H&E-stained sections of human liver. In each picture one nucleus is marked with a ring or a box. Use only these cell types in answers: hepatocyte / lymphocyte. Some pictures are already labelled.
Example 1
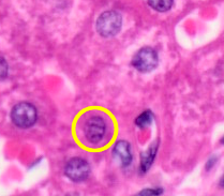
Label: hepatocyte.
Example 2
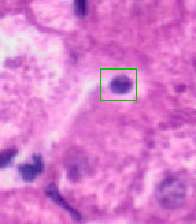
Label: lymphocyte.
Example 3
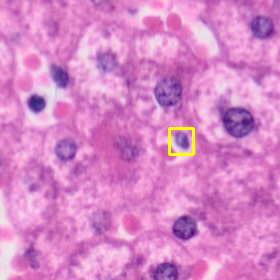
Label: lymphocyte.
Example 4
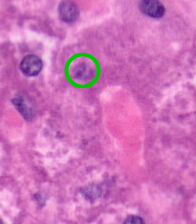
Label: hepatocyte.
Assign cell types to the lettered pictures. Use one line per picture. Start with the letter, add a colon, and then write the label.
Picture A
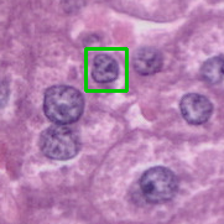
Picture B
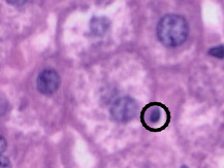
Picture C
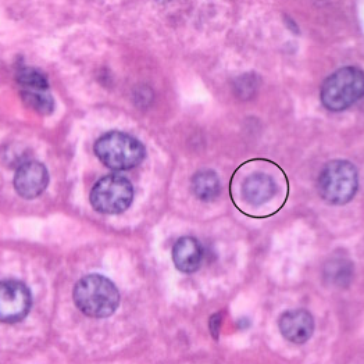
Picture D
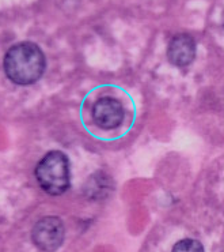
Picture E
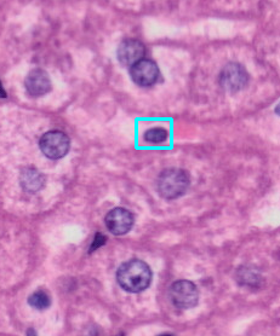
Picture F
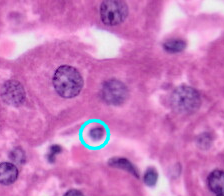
A: hepatocyte.
B: lymphocyte.
C: hepatocyte.
D: hepatocyte.
E: lymphocyte.
F: lymphocyte.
